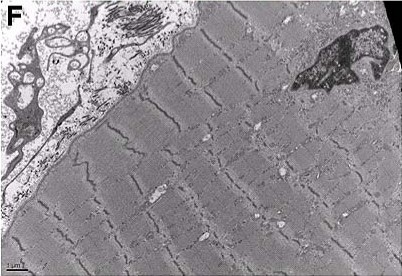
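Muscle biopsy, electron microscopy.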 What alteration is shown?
Myofibrillar disorganization.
